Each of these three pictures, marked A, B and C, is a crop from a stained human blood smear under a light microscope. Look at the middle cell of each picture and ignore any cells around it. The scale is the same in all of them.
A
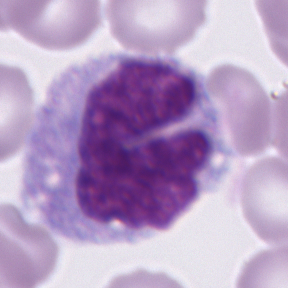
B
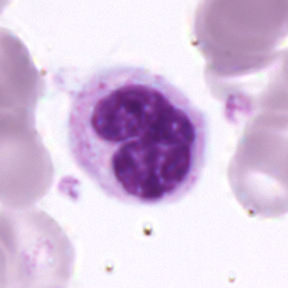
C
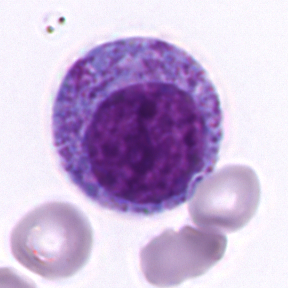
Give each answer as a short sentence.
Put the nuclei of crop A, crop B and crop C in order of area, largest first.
From the largest down, the order is A, C, B.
